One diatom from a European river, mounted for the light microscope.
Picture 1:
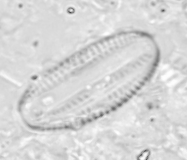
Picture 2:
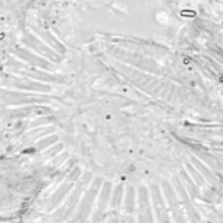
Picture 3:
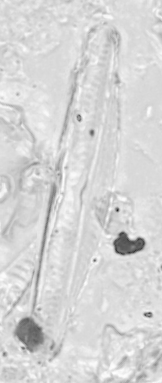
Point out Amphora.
That is picture 1.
